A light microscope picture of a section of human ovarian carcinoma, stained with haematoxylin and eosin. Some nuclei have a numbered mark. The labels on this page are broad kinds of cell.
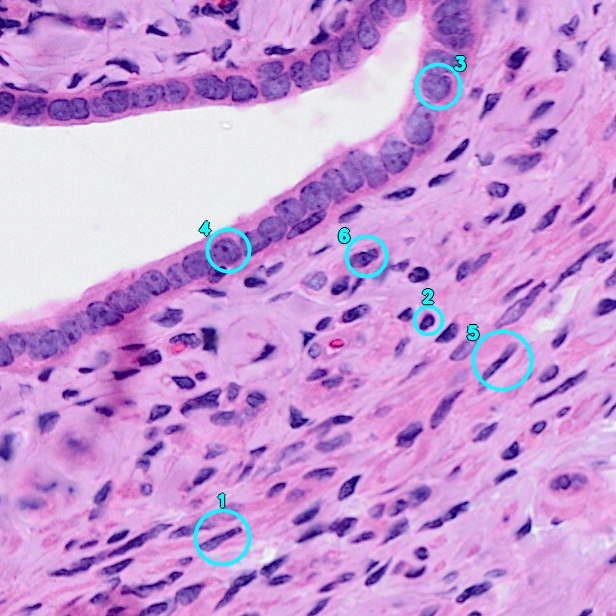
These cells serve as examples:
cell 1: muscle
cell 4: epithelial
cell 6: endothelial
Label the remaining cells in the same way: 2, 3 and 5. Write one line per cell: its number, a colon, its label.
2: muscle
3: epithelial
5: muscle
